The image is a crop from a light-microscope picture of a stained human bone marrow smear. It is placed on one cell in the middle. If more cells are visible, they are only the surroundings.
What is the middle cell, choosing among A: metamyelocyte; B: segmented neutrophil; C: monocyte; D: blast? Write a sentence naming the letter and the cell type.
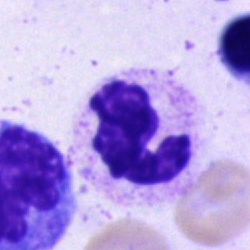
The cell placed in the middle is a segmented neutrophil; option B is correct.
